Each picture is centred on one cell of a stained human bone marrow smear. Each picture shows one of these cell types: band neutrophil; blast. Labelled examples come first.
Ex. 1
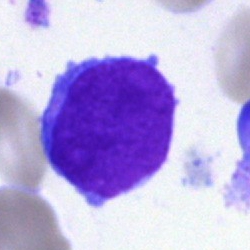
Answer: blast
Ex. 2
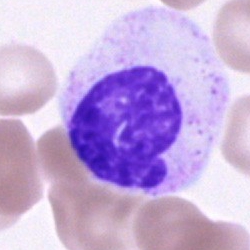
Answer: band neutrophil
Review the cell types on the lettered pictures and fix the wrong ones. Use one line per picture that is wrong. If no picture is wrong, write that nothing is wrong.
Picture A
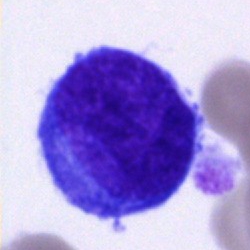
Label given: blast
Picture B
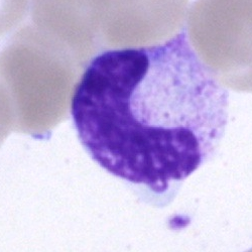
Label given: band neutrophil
Every label is right.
